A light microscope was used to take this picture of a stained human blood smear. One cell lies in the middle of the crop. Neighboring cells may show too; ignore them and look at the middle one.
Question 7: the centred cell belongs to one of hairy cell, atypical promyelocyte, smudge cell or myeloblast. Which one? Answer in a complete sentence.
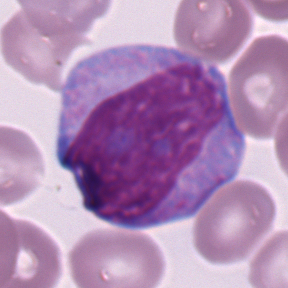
Of the cells in this crop, the central one is an atypical promyelocyte.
